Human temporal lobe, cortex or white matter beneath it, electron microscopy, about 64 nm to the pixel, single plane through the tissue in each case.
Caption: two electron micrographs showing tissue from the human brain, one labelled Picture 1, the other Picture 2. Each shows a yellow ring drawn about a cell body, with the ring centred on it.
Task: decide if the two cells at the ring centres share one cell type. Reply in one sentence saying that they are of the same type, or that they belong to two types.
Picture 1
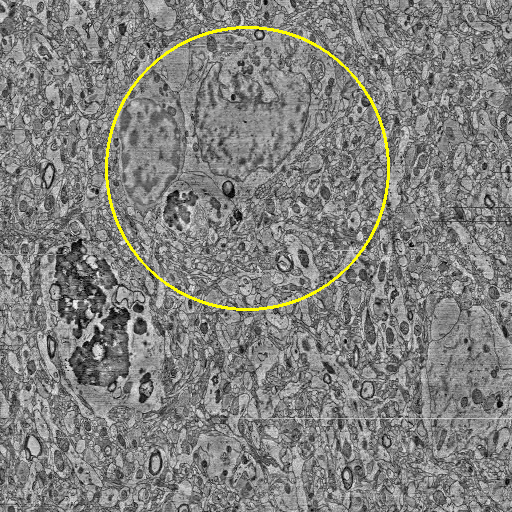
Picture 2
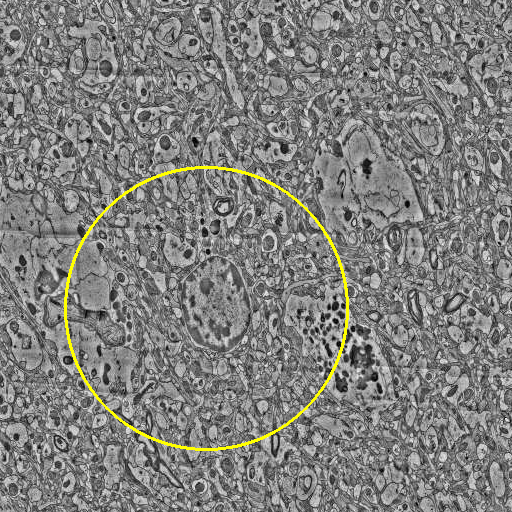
The cells at the ring centres in Picture 1 and Picture 2 belong to two types.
